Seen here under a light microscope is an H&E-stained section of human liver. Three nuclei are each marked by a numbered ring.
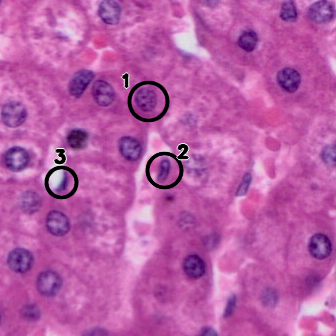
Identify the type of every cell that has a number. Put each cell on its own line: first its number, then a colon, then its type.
1: hepatocyte
2: Kupffer cell
3: endothelial cell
